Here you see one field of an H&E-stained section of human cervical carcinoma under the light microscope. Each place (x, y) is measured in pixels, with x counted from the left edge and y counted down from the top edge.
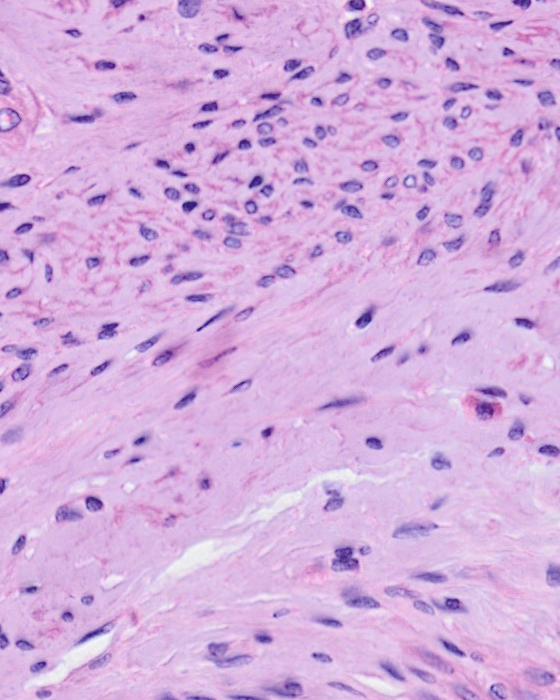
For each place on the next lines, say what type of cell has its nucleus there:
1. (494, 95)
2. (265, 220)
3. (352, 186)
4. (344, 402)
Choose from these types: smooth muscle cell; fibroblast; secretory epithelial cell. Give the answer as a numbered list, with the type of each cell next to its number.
1. smooth muscle cell
2. smooth muscle cell
3. smooth muscle cell
4. fibroblast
